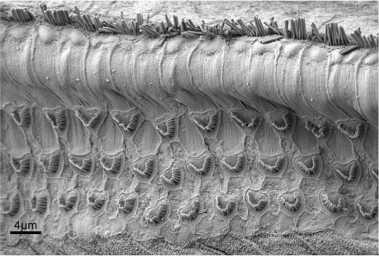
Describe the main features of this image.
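This scanning electron micrograph looks down on the surface of the cochlear sensory epithelium with its rows of hair cells. Along the top runs a single row of cells carrying dense upright bundles of stereocilia, and below it lie three orderly rows of cells each bearing a V-shaped stereocilia bundle, separated by the flat surfaces of neighbouring supporting cells.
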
